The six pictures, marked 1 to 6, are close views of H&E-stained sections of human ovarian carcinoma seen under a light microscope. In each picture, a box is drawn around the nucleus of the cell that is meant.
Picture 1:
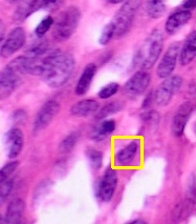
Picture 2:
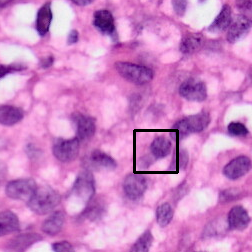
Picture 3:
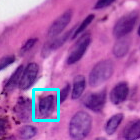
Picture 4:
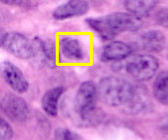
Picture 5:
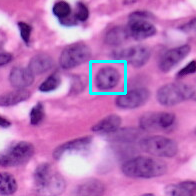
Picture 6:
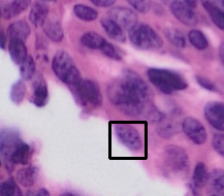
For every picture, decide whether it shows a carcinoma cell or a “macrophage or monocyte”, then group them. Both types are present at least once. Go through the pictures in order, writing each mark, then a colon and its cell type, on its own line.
1: macrophage or monocyte
2: carcinoma cell
3: macrophage or monocyte
4: macrophage or monocyte
5: macrophage or monocyte
6: carcinoma cell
